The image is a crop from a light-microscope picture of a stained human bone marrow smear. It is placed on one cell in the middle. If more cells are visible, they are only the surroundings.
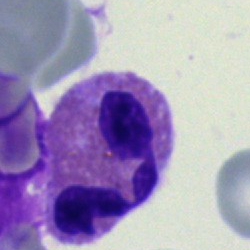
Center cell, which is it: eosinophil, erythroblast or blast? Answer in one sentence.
The centrally located cell in the crop is an eosinophil.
